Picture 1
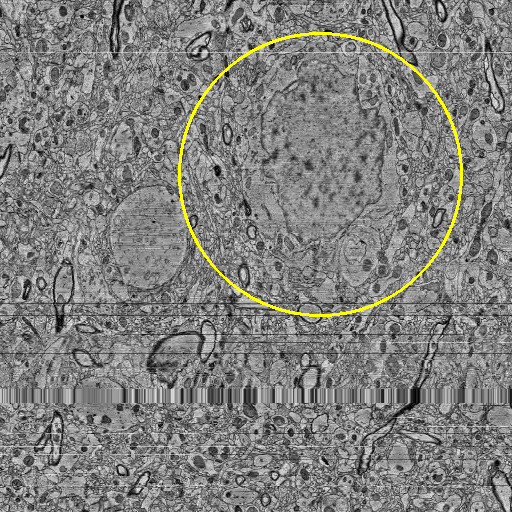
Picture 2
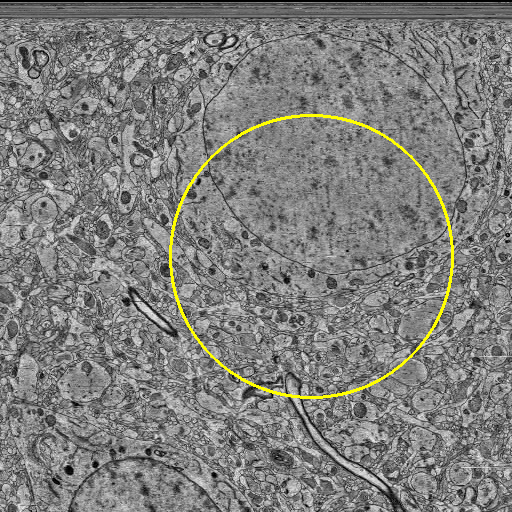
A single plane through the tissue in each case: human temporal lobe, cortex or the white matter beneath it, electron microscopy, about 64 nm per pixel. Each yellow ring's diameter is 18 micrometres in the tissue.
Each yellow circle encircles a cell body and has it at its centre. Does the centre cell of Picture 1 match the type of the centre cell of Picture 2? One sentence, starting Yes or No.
No, the cell centred in Picture 1 and the one in Picture 2 have separate types.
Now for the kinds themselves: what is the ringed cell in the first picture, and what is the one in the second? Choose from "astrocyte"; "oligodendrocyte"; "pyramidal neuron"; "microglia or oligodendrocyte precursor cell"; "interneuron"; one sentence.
Here the first cell is an interneuron and the second cell is a pyramidal neuron.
